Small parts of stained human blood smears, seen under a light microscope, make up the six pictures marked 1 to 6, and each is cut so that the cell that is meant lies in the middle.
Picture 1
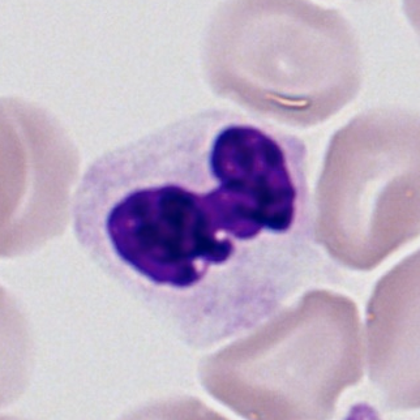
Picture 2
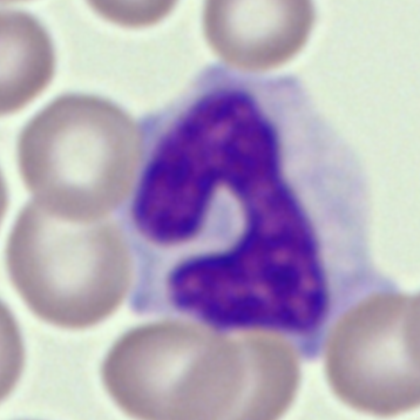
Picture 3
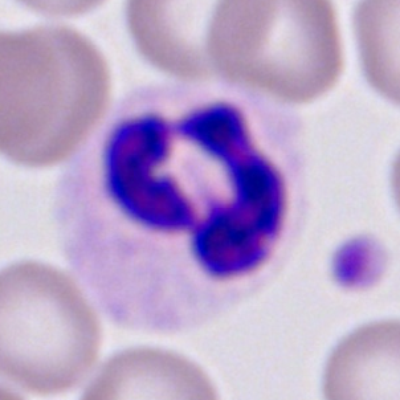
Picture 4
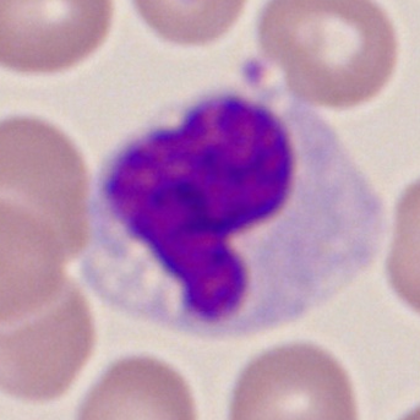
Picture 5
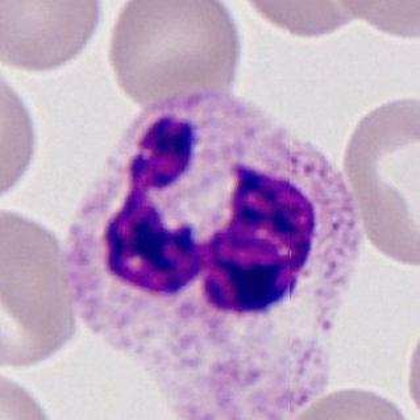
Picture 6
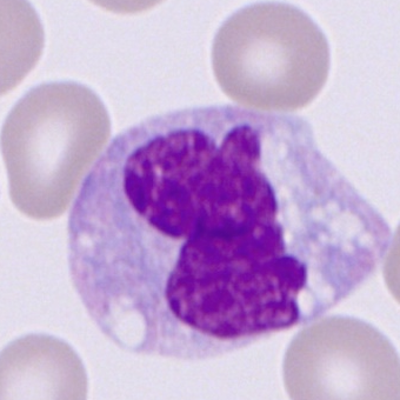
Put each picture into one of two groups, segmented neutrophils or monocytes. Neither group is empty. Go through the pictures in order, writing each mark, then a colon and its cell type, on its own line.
1: segmented neutrophil
2: monocyte
3: segmented neutrophil
4: monocyte
5: segmented neutrophil
6: monocyte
